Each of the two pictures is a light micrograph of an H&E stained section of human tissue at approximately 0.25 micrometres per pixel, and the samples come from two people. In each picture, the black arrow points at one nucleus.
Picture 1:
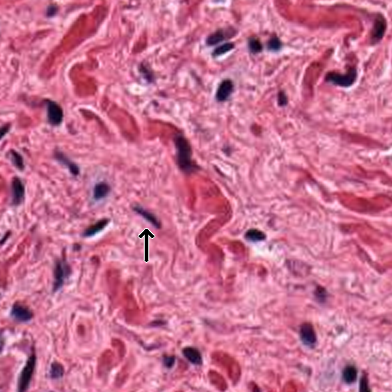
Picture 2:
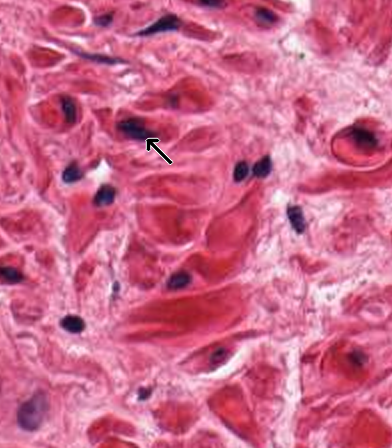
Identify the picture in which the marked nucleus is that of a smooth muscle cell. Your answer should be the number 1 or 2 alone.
2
